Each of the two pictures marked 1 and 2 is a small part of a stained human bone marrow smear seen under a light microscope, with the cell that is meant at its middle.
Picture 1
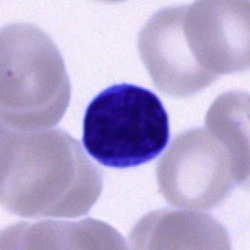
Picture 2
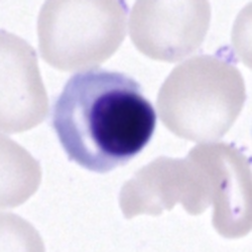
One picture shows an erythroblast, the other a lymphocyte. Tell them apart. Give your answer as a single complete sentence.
Picture 1 is of a lymphocyte, and picture 2 is of an erythroblast.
